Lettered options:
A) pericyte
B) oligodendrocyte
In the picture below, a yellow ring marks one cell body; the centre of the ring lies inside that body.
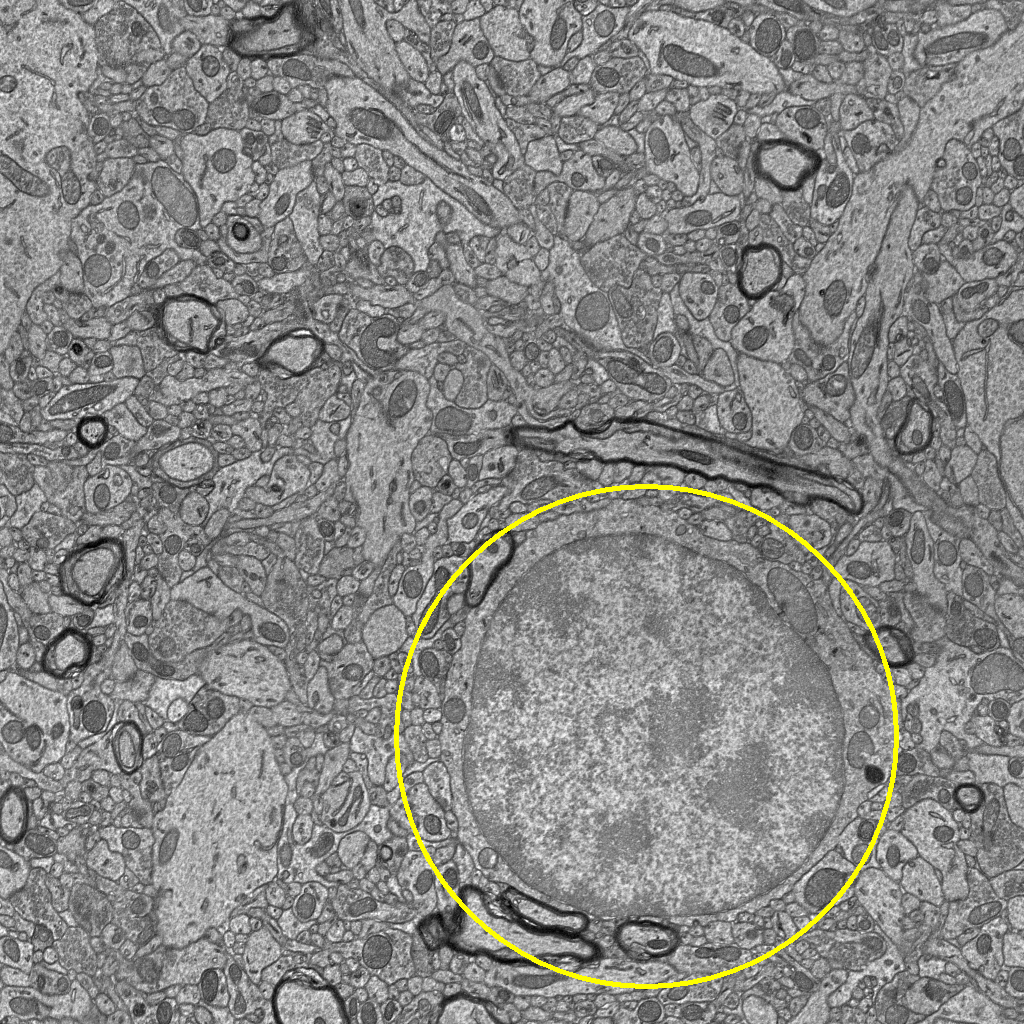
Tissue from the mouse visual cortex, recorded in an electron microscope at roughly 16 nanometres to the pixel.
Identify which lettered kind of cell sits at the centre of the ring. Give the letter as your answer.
B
